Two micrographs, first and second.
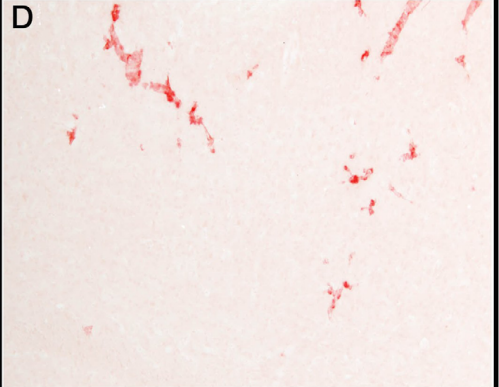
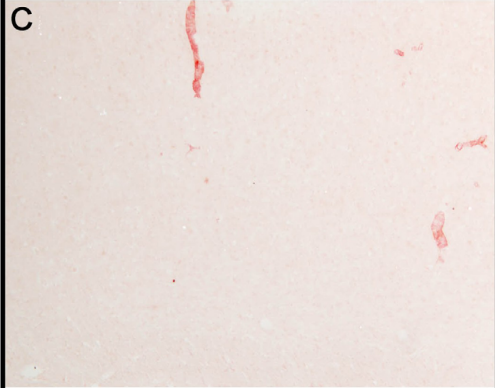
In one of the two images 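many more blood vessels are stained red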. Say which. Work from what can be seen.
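First image: numerous red-stained vessel profiles, some branching, across the field. Second image: only a few faint red vessel segments.
Hence: the first image.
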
